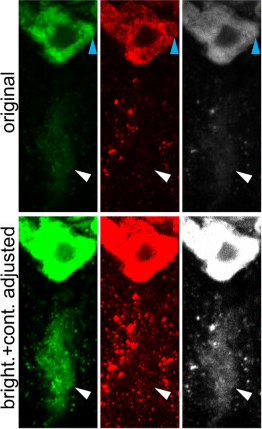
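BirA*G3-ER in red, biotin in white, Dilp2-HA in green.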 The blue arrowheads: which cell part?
Parts of the cell body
